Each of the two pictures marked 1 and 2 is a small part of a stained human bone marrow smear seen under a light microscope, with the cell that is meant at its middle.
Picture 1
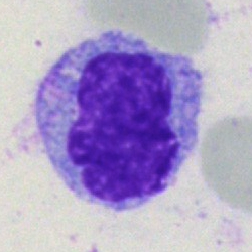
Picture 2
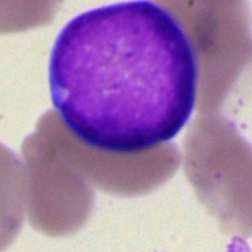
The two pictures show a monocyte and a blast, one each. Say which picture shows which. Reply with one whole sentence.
In picture 1 the cell is a monocyte; in picture 2, a blast.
